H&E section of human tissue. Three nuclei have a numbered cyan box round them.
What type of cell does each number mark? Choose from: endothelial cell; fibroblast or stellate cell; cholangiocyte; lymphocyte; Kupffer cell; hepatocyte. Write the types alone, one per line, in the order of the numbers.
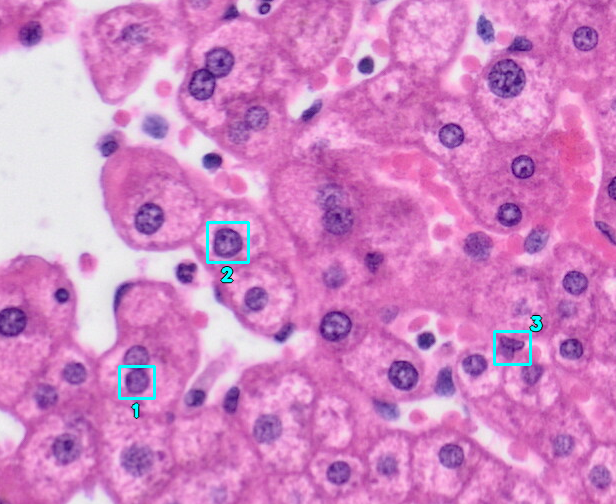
hepatocyte
hepatocyte
endothelial cell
